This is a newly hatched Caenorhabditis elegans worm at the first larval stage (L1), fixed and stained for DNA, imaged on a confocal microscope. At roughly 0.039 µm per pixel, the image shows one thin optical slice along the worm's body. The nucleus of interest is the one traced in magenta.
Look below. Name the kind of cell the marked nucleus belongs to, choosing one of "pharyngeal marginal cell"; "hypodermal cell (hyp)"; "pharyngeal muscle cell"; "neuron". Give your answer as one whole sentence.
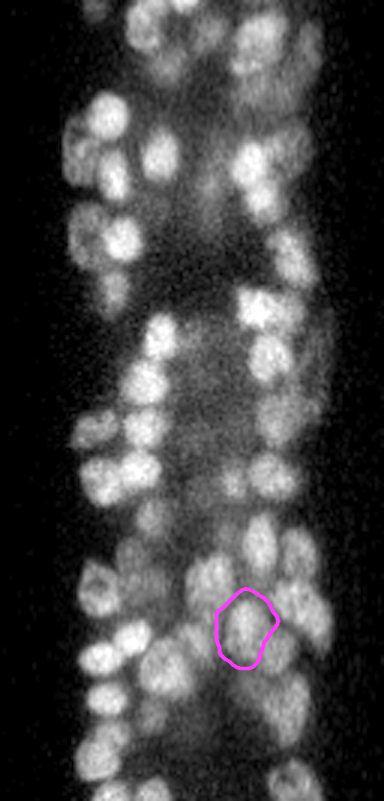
It is the nucleus of a pharyngeal muscle cell.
